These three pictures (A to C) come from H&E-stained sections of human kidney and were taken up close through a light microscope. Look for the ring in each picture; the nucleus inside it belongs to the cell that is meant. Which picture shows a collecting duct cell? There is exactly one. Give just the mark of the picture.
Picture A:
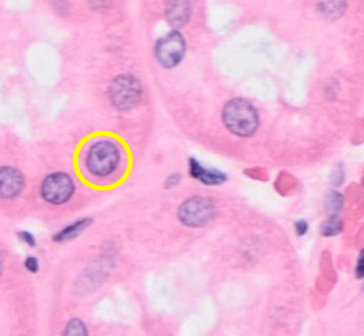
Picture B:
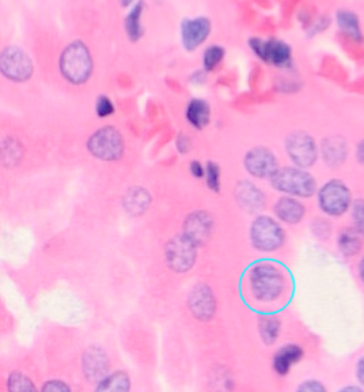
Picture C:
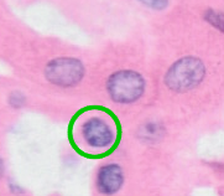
B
